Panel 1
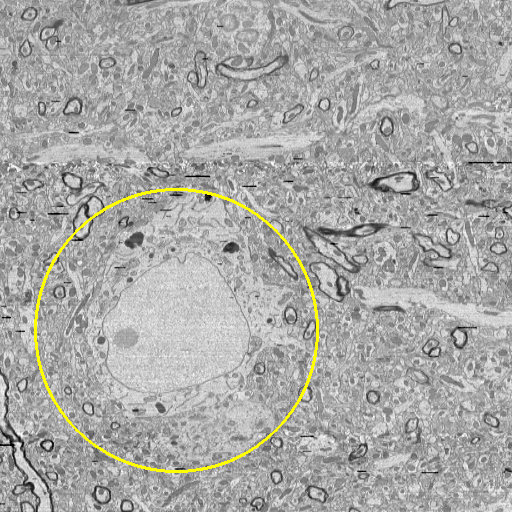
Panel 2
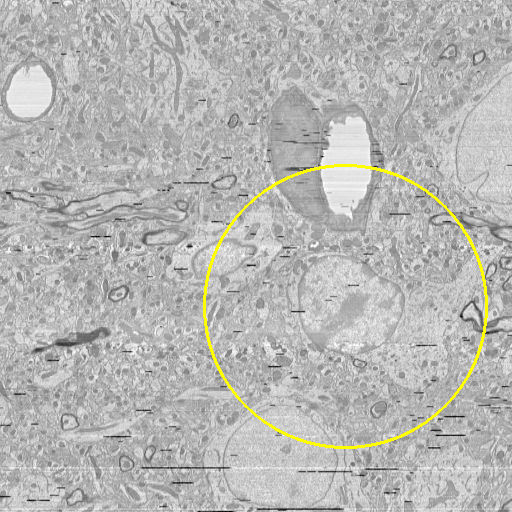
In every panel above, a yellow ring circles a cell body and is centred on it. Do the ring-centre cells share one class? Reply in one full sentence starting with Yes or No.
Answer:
No, the two cells at the ring centres in the panels belong to two classes.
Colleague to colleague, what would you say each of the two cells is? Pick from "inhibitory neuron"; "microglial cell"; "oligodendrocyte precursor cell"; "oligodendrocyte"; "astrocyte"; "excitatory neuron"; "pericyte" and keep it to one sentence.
The cell in the first picture is an excitatory neuron; the second picture's cell is an oligodendrocyte.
